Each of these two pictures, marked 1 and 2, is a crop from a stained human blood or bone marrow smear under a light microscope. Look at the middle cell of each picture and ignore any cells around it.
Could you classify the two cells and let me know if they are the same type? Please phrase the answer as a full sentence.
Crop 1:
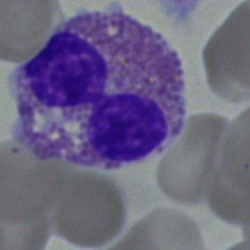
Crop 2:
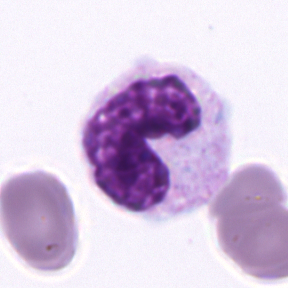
No, crop 1 displays an eosinophil, and crop 2 displays a band neutrophil.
